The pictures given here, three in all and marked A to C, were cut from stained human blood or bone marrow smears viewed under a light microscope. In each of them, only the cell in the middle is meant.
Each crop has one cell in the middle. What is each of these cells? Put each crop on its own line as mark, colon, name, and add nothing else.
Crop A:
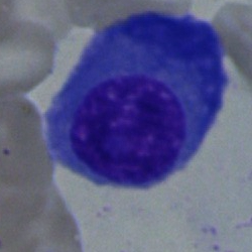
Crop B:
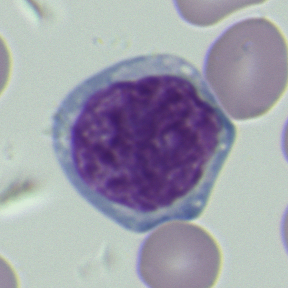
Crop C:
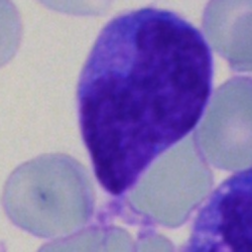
A: plasma cell
B: blast
C: blast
